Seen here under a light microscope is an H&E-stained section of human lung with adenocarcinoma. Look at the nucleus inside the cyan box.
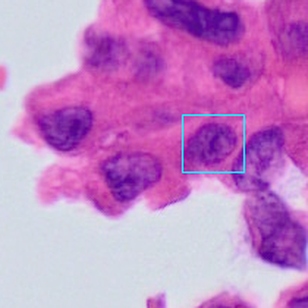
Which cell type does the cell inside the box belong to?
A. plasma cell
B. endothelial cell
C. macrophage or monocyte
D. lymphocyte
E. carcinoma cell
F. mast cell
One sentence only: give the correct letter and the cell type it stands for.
Option E is the correct one: the cell inside the box is a carcinoma cell.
